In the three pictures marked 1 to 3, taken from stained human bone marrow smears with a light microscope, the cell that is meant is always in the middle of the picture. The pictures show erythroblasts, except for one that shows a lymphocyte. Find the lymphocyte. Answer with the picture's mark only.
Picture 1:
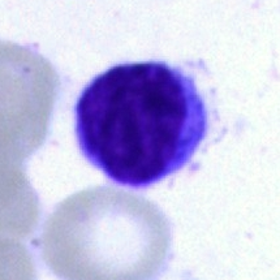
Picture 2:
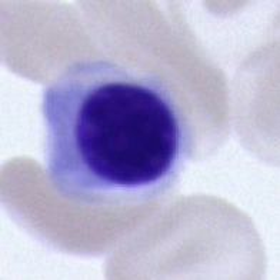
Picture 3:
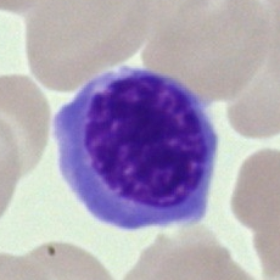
1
